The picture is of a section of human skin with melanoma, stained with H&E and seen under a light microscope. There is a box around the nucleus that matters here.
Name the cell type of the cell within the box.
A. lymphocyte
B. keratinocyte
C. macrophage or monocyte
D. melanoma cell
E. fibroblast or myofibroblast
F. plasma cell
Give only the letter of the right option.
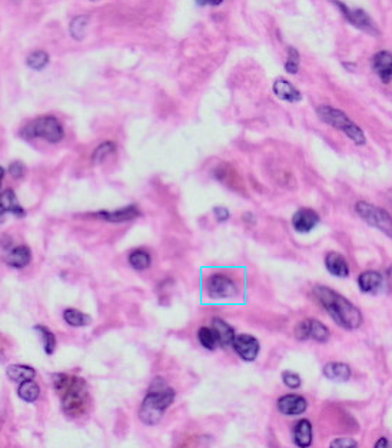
C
